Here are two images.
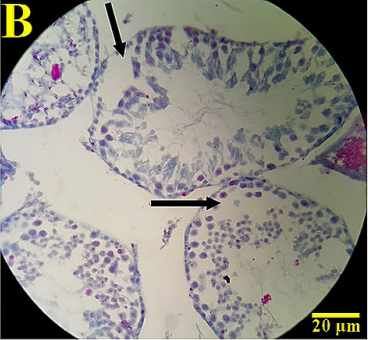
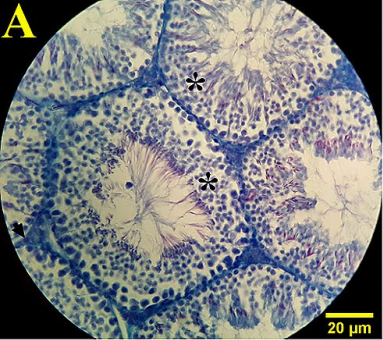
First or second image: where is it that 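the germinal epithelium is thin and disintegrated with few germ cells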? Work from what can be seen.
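The first image. First image: tubules are separated by wide empty spaces and their epithelium is thin with gaps. Second image: tubules are closely packed with a thick, dense, many-layered epithelium.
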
